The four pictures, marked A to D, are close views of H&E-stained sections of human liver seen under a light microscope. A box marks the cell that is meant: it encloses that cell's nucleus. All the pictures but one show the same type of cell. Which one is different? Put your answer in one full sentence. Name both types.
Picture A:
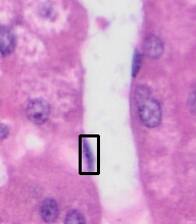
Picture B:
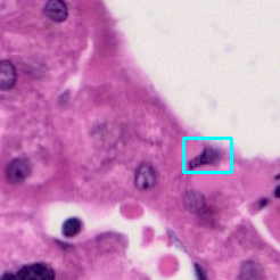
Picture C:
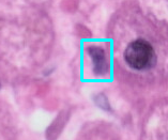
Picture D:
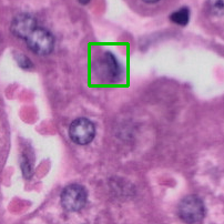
The others show endothelial cells, but picture B shows a “fibroblast or stellate cell”.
